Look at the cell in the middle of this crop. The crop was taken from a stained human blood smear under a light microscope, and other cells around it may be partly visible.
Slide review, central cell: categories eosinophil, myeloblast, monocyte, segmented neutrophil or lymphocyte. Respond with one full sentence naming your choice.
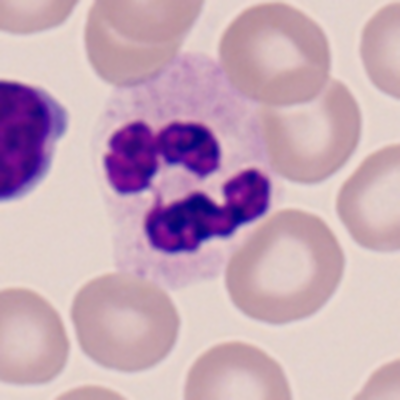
The cell found in the middle of this crop is a segmented neutrophil.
